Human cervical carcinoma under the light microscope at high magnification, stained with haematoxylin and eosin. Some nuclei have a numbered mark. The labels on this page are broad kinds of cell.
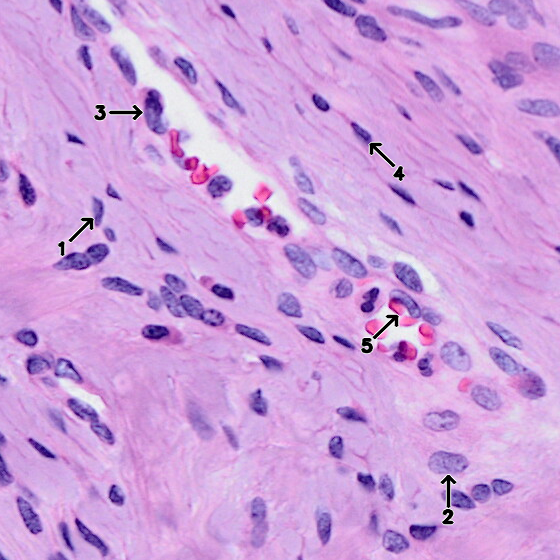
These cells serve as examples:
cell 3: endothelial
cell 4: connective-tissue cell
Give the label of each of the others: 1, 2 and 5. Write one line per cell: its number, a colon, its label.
1: connective-tissue cell
2: connective-tissue cell
5: endothelial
